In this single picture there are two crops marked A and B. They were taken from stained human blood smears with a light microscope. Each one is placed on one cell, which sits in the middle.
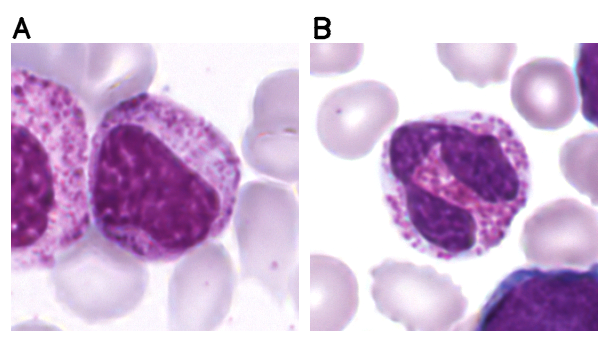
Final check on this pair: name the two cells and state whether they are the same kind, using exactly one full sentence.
No, crop A shows a myelocyte, with an eosinophil shown in crop B.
